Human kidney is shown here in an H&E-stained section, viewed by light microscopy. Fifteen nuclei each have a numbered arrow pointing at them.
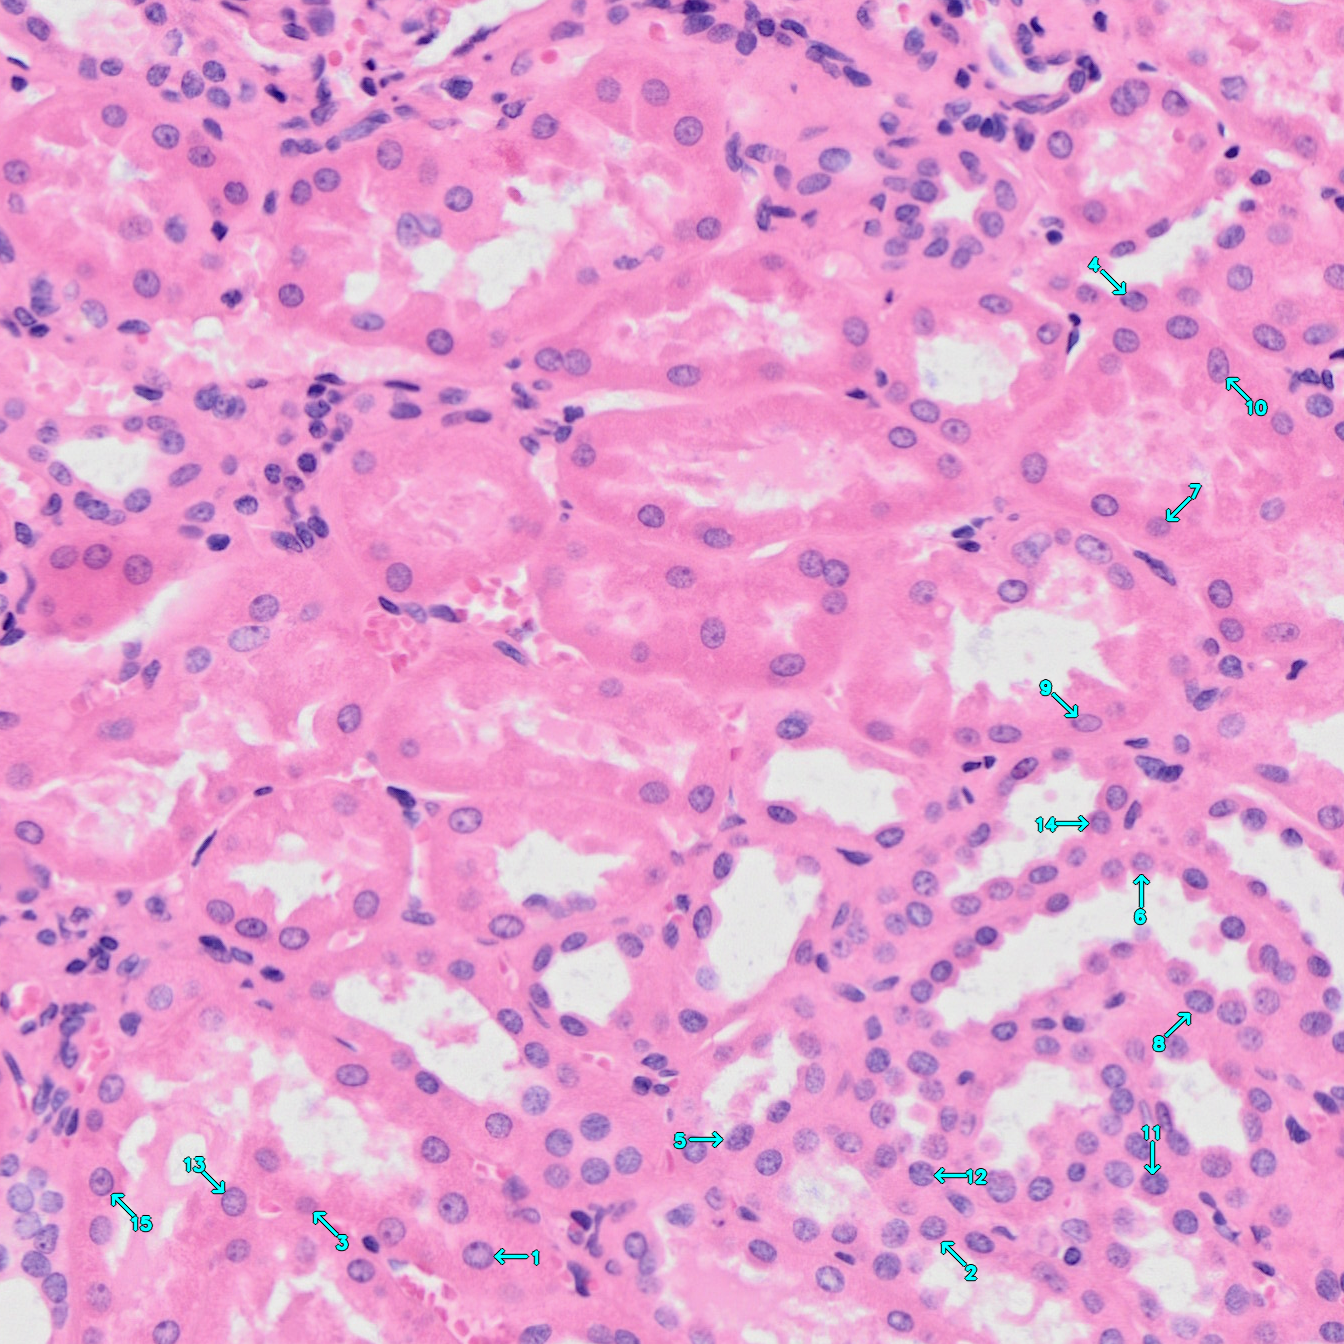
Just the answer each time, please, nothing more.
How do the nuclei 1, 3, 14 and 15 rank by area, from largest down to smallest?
1, 15, 14, 3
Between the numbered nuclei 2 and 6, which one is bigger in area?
2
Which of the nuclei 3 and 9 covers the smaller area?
3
